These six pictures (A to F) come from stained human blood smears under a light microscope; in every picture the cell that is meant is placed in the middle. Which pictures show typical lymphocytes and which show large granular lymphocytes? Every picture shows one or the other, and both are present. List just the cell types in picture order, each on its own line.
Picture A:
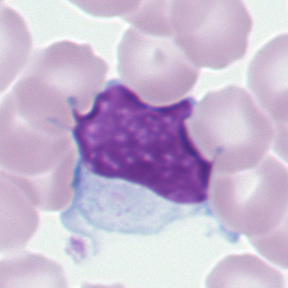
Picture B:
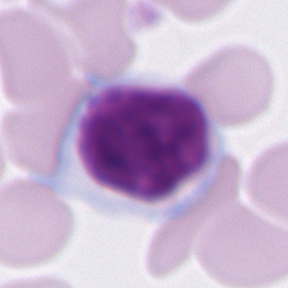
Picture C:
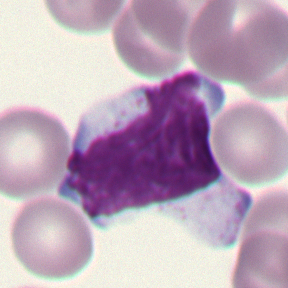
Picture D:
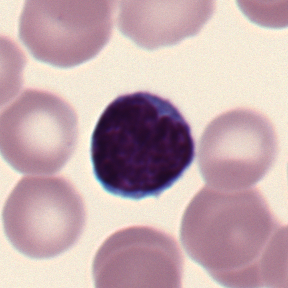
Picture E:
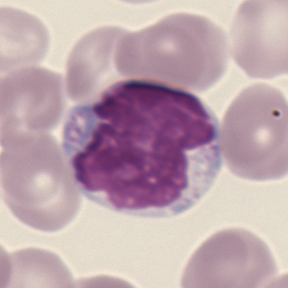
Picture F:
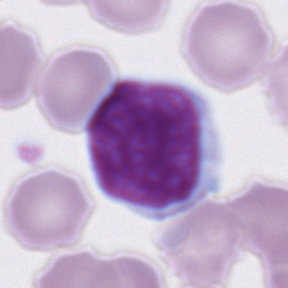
typical lymphocyte
typical lymphocyte
large granular lymphocyte
typical lymphocyte
large granular lymphocyte
typical lymphocyte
